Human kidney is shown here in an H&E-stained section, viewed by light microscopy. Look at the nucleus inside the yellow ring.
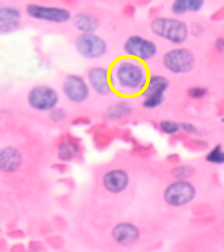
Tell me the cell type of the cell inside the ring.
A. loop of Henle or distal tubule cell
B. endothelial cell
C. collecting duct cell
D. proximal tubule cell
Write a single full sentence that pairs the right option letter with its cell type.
Of the options given, C is right: the cell inside the ring is a collecting duct cell.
